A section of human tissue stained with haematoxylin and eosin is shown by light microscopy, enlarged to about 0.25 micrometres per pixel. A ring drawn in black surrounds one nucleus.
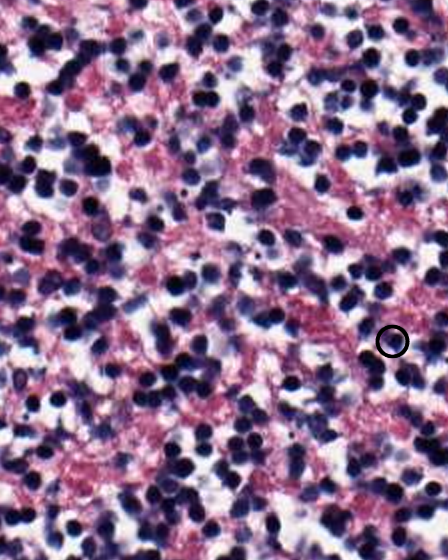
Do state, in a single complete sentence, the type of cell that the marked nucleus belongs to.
The nucleus bearing the mark belongs to a cerebellar granule cell.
